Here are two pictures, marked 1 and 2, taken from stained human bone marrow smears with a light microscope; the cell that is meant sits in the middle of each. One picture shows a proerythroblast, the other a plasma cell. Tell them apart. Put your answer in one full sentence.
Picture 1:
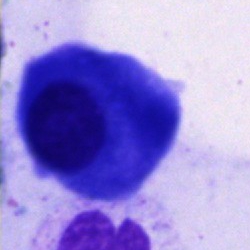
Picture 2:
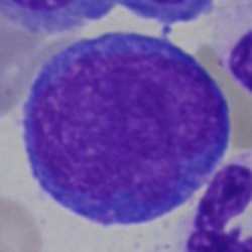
Picture 2 shows a proerythroblast, while picture 1 shows a plasma cell.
